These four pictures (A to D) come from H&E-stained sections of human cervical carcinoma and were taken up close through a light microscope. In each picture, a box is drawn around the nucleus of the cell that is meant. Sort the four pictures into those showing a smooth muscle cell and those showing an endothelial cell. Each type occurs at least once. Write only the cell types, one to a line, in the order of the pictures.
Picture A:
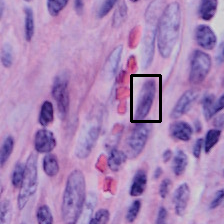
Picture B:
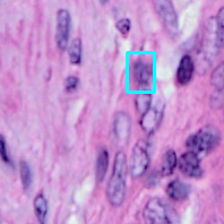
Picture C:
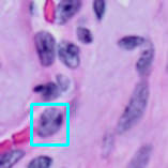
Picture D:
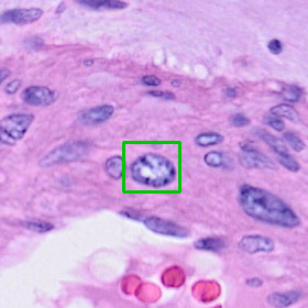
endothelial cell
endothelial cell
endothelial cell
smooth muscle cell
